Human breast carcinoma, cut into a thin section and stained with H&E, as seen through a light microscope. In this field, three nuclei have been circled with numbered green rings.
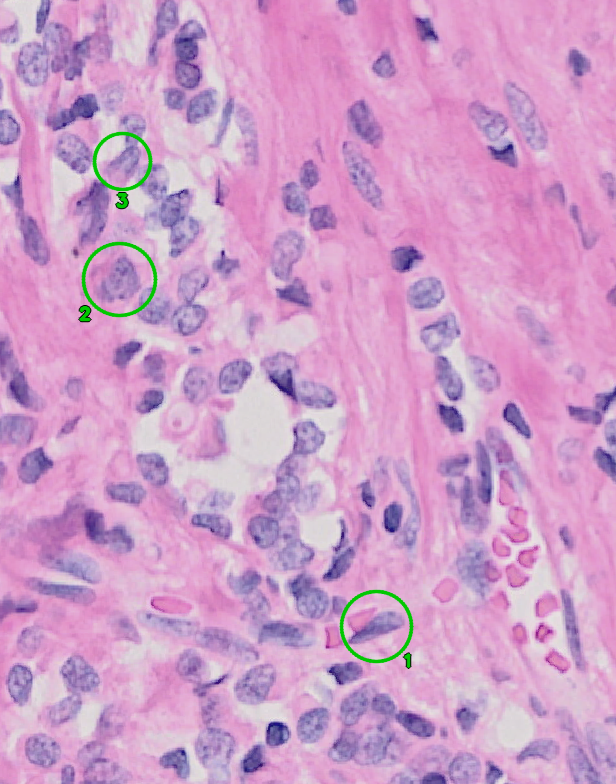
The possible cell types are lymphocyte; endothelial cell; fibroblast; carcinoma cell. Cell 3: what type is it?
carcinoma cell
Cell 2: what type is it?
carcinoma cell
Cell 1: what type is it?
endothelial cell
